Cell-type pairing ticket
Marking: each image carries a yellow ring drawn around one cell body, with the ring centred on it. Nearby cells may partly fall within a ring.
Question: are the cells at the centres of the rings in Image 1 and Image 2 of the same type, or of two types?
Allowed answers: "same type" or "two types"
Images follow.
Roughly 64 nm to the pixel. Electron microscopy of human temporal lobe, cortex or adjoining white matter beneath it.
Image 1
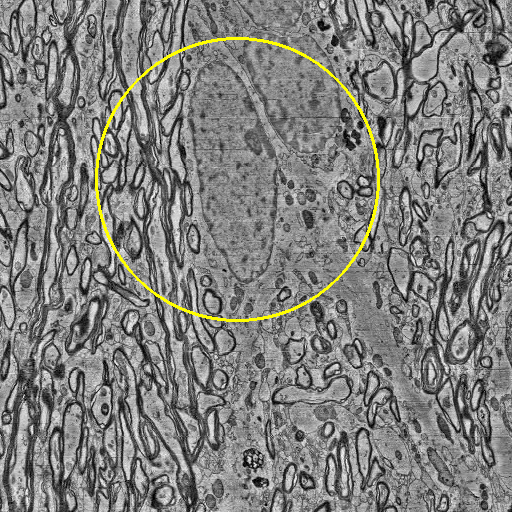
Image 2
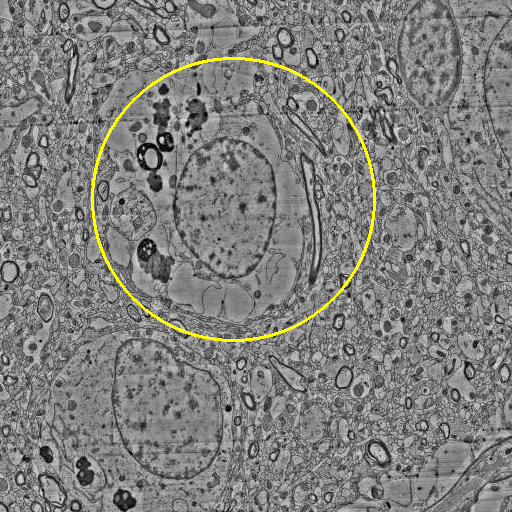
same type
